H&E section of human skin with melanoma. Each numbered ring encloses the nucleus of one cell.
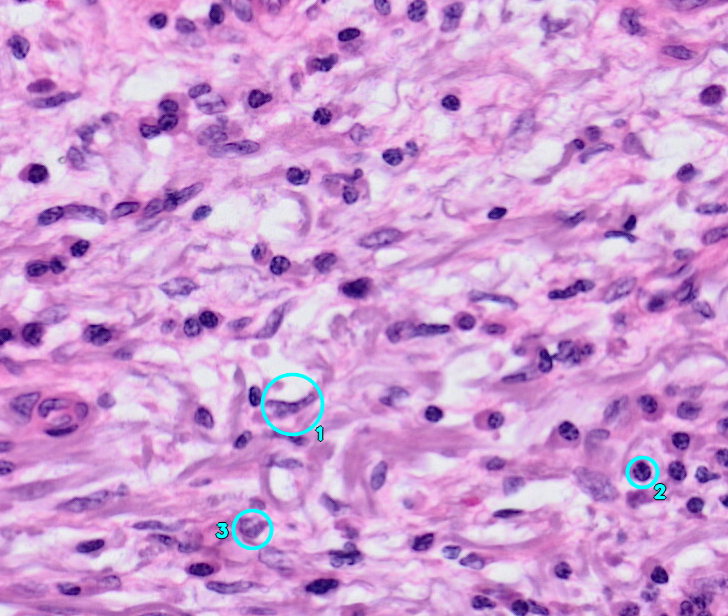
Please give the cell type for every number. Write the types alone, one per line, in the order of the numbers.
fibroblast or myofibroblast
plasma cell
fibroblast or myofibroblast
